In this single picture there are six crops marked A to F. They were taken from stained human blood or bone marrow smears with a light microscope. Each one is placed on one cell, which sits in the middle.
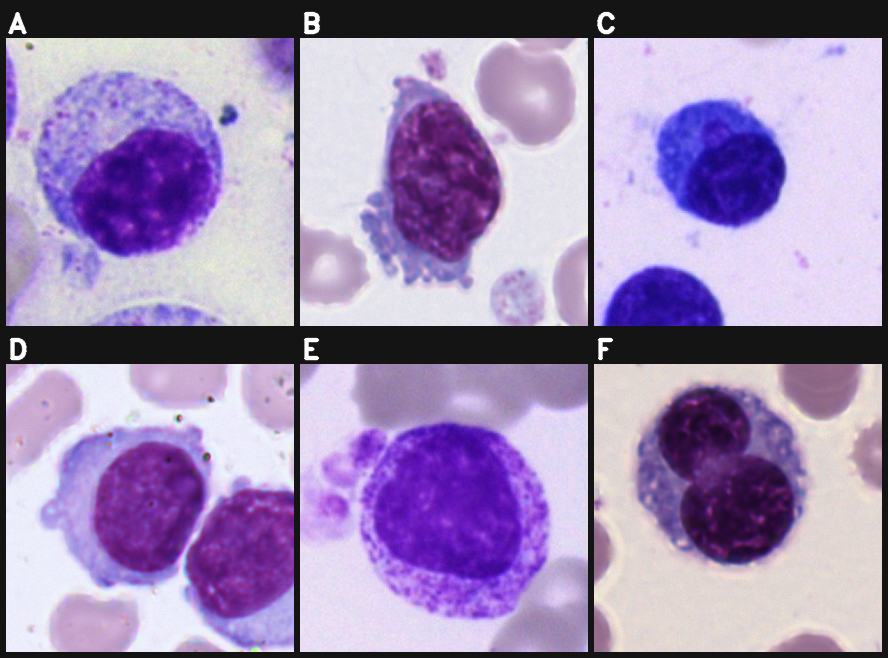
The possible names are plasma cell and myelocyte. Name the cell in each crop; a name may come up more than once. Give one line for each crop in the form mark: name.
A: myelocyte
B: plasma cell
C: plasma cell
D: plasma cell
E: myelocyte
F: plasma cell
